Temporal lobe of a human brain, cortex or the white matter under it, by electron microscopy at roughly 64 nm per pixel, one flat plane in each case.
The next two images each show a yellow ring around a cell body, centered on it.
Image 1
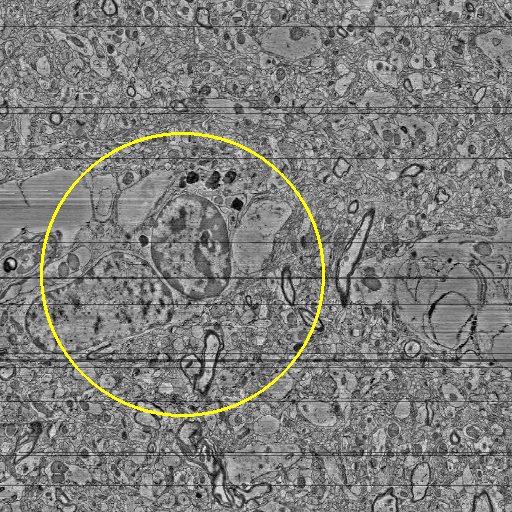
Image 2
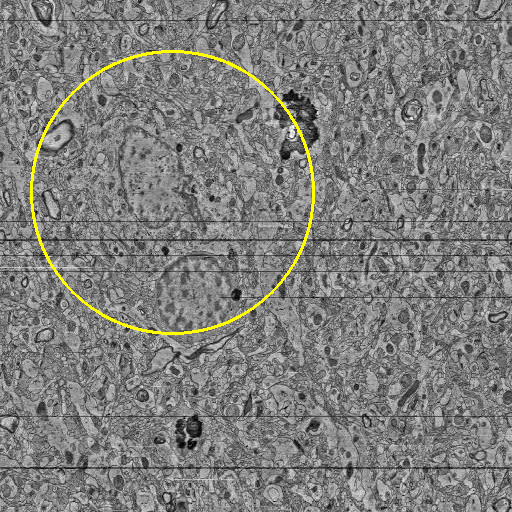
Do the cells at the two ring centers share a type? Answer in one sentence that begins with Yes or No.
No, across the two images the cells at the ring centers are of two types.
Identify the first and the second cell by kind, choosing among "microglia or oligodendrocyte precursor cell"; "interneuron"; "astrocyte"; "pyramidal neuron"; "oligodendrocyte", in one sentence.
The one in the first picture is a microglial cell or oligodendrocyte precursor cell, while the one in the second is an interneuron.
